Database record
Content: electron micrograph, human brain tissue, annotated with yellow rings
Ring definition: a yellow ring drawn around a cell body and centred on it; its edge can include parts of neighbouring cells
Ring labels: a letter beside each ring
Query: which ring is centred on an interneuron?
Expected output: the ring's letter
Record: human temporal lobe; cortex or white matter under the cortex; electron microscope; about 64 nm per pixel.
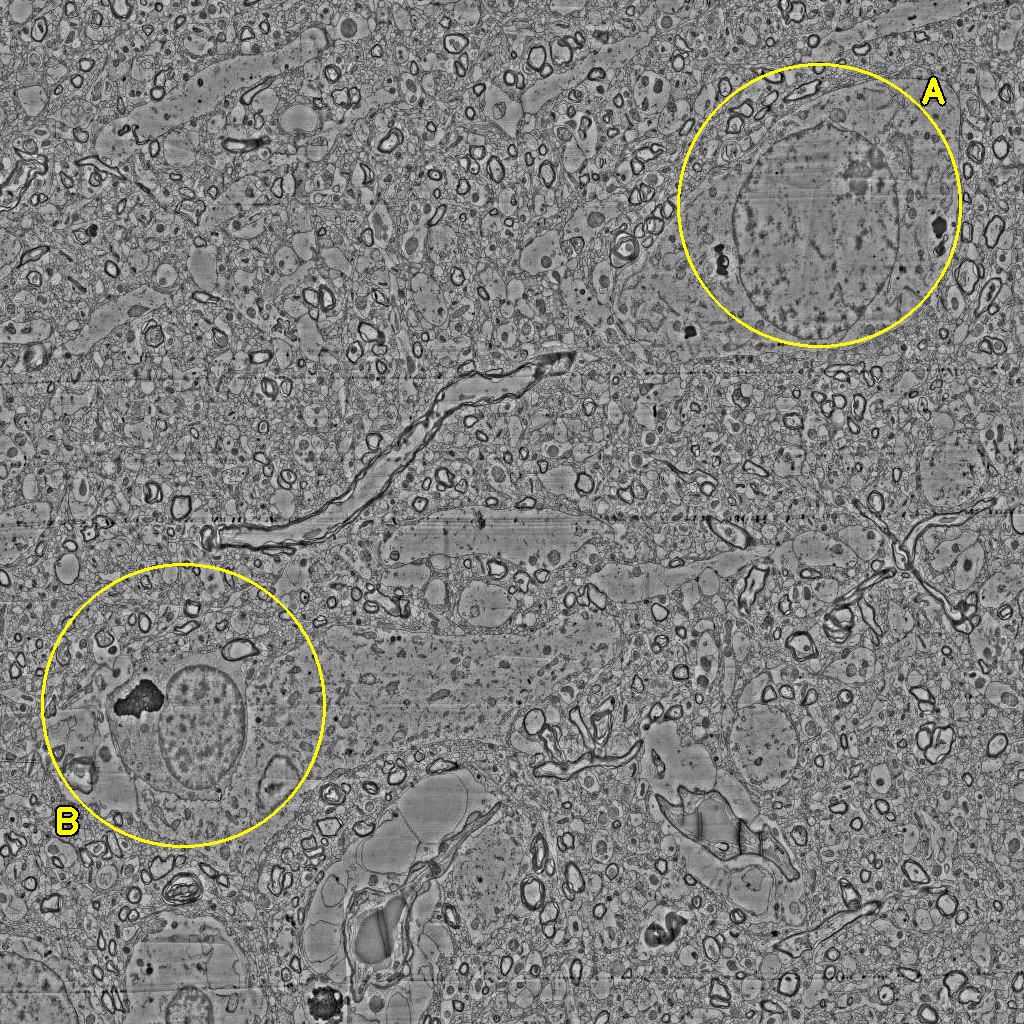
A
